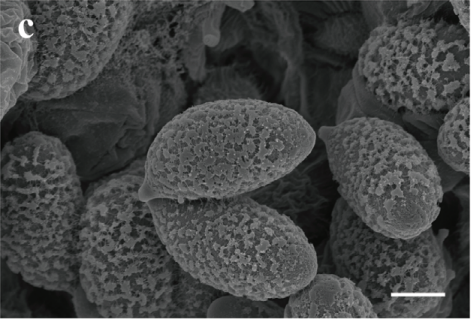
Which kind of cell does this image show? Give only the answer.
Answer: basidiospores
